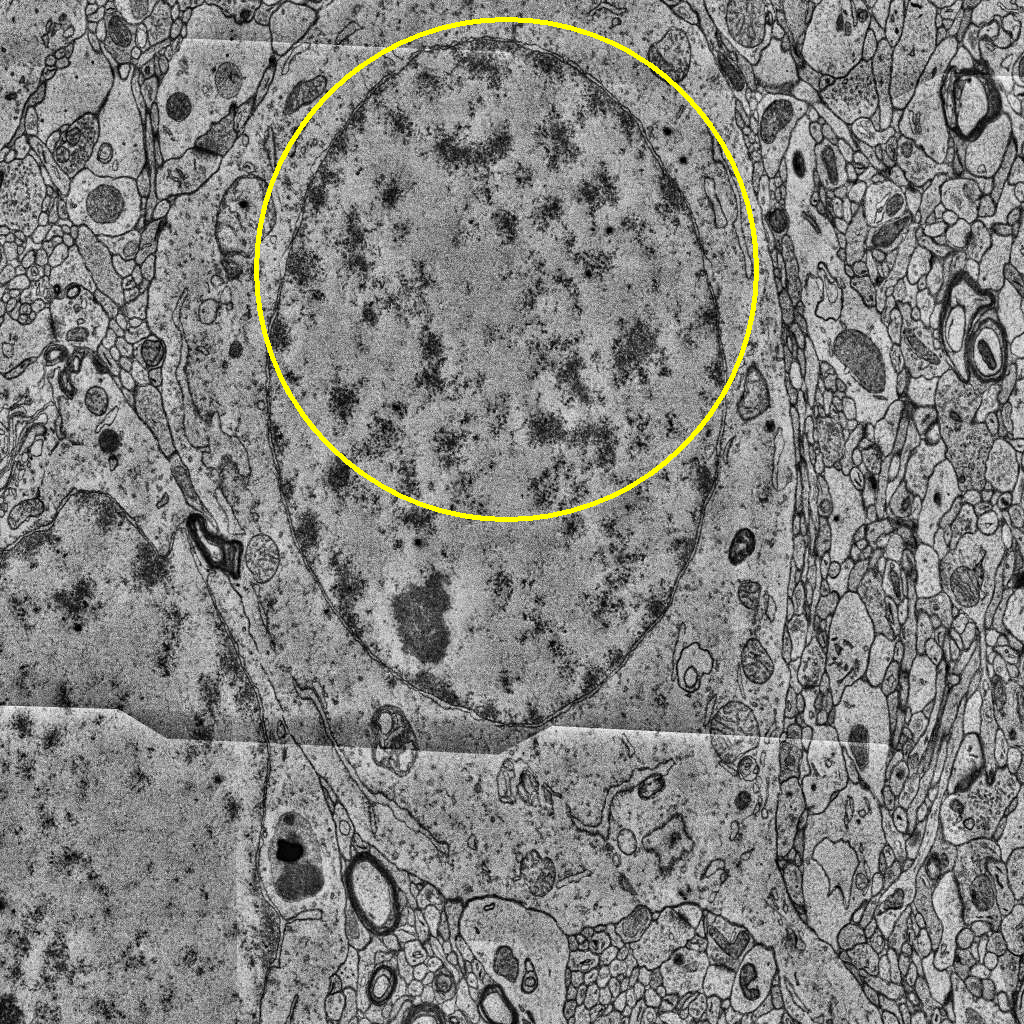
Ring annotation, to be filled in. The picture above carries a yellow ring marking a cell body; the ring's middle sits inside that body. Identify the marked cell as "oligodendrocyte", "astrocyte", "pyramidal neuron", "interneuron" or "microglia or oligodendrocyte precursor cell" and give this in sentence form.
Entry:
The cell at the middle of the ring is a pyramidal neuron.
